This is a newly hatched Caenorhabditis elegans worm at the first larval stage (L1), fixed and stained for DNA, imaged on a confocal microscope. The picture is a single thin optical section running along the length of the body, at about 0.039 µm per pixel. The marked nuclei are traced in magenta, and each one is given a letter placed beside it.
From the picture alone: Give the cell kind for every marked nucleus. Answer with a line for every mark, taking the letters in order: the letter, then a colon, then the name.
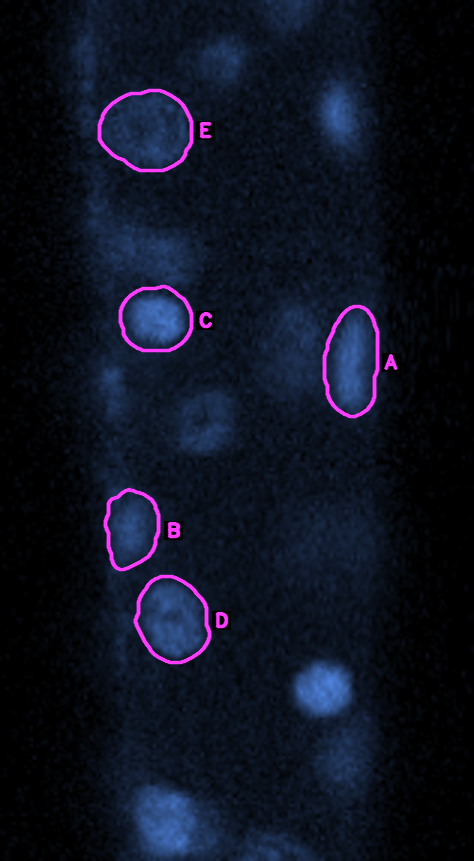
A: body wall muscle cell
B: body wall muscle cell
C: body wall muscle cell
D: P cell (ventral epidermal blast cell)
E: intestinal cell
